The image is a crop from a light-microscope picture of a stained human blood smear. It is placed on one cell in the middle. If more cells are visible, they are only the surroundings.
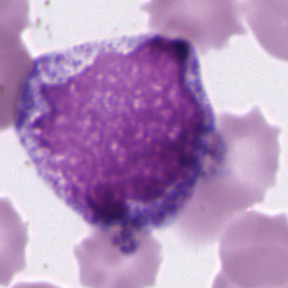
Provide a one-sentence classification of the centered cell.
The cell that lies at the centre of the crop is a promyelocyte.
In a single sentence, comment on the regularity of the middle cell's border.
A ragged or projecting edge replaces the smooth outline in this cell.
